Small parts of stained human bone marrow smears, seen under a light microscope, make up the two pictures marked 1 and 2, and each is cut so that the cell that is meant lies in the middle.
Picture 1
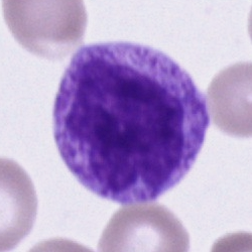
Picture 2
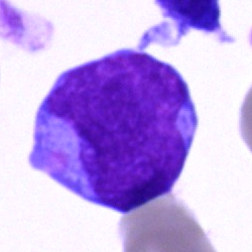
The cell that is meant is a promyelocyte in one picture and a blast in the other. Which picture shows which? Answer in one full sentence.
It is picture 1 that shows a promyelocyte, and picture 2 that shows a blast.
